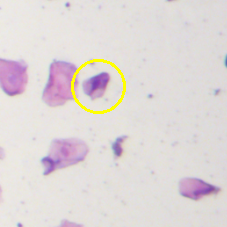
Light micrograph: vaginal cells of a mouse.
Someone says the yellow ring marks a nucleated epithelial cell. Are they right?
They are right: it is a nucleated epithelial cell.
